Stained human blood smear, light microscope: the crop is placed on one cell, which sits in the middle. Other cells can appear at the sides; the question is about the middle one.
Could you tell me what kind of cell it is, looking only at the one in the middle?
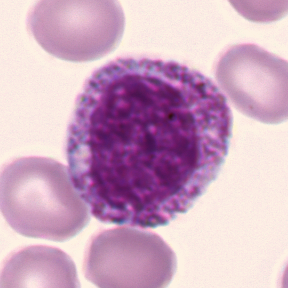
myelocyte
